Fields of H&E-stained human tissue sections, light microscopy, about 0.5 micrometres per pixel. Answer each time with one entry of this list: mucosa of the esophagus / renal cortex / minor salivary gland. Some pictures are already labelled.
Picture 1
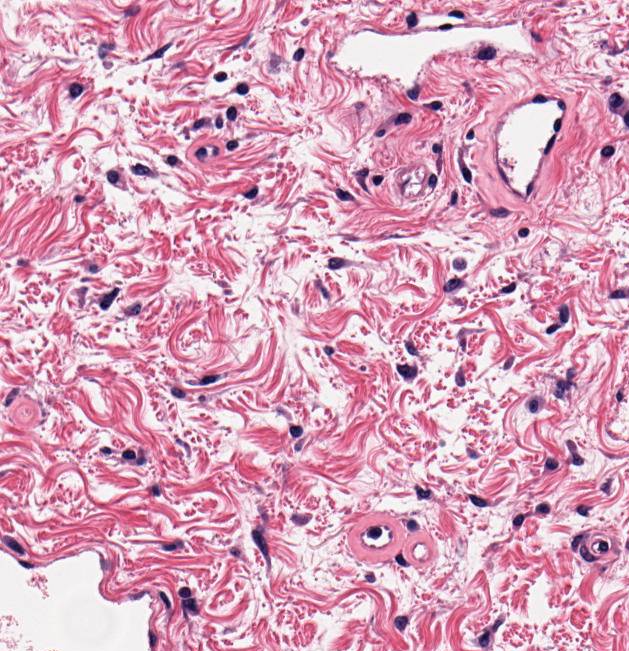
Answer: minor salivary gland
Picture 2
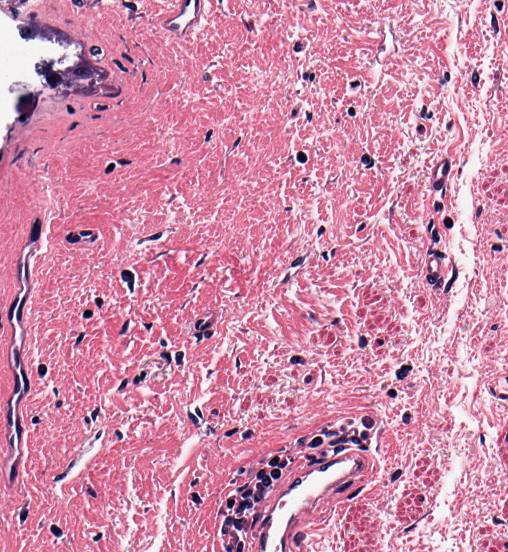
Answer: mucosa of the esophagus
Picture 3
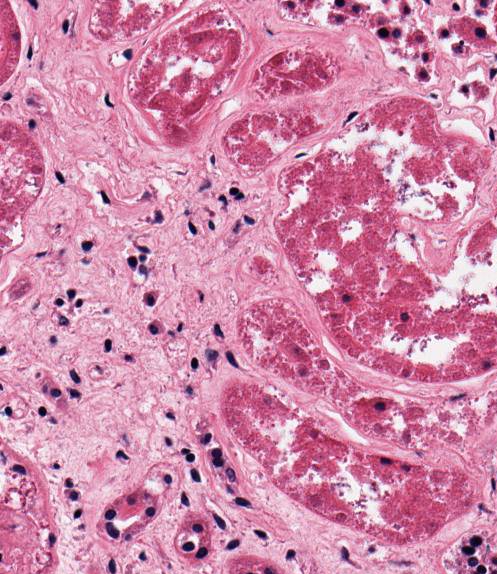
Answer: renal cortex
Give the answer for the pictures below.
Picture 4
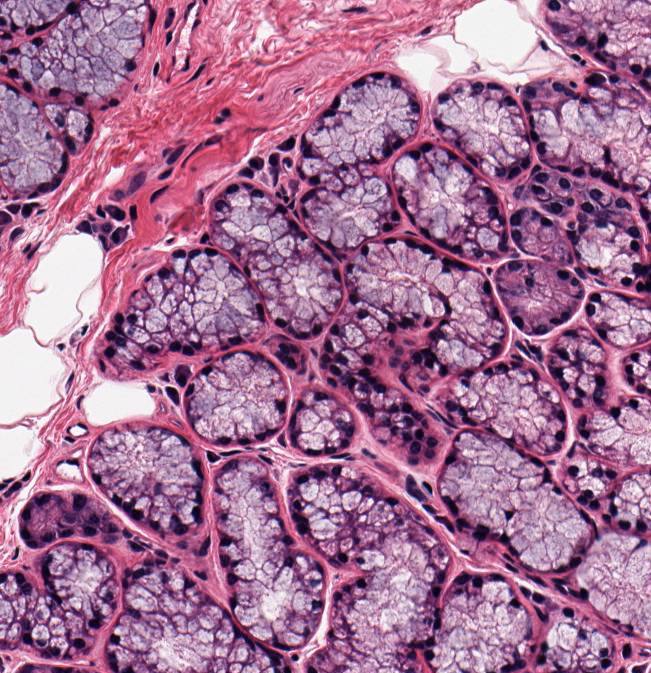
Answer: minor salivary gland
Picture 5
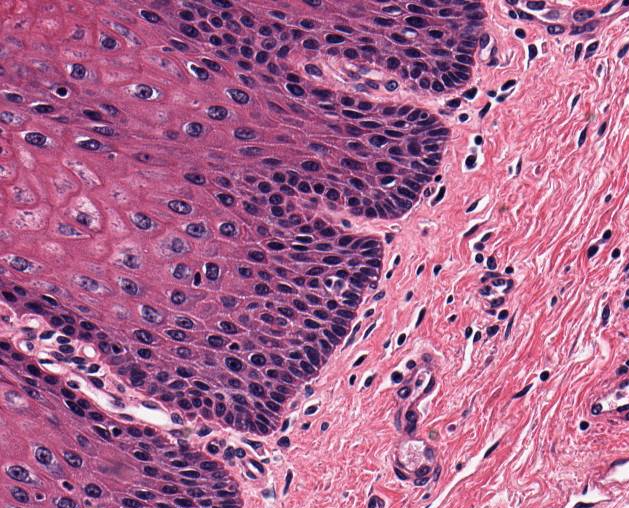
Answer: mucosa of the esophagus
